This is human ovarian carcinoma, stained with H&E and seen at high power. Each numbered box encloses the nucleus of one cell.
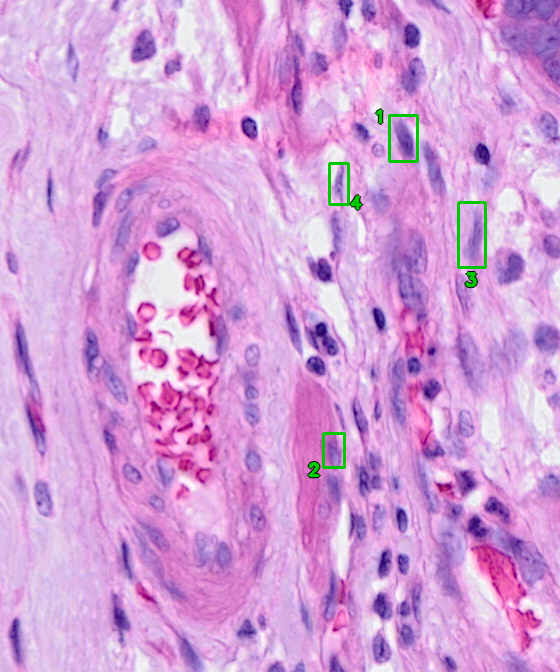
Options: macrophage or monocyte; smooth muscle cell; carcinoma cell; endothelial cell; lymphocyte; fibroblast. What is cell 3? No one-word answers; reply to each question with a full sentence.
The cell that carries the label 3 is a fibroblast.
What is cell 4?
Marked with the number 4, this cell is a fibroblast.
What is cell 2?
Cell 2 should be recorded as a smooth muscle cell.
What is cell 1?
Here, the cell given the number 1 is a fibroblast.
